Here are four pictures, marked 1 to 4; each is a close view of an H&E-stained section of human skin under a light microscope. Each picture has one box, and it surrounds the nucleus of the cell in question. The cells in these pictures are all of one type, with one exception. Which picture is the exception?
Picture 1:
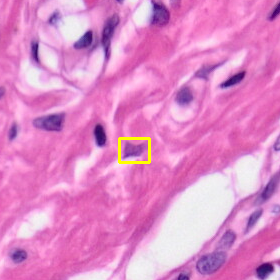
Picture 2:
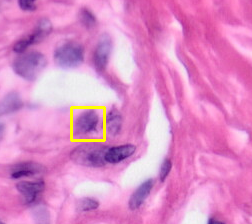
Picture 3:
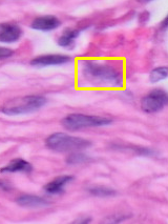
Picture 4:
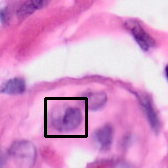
1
